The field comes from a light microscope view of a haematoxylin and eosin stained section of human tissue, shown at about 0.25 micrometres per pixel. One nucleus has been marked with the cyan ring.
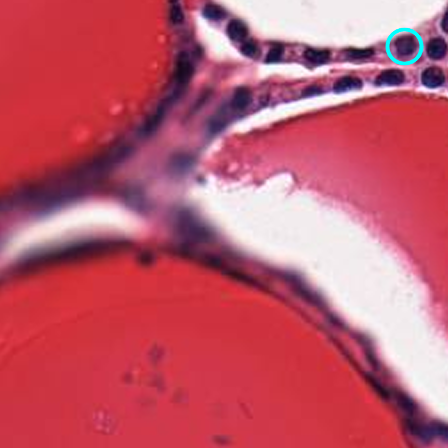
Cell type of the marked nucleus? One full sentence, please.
In this picture it is a thyroid follicular cell whose nucleus is marked.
